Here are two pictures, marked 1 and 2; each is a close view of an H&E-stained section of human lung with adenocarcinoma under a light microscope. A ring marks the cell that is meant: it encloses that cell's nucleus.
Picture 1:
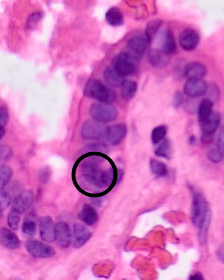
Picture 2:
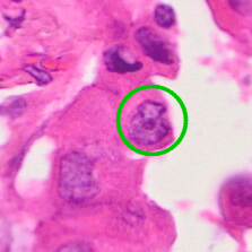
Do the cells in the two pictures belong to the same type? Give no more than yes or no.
no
